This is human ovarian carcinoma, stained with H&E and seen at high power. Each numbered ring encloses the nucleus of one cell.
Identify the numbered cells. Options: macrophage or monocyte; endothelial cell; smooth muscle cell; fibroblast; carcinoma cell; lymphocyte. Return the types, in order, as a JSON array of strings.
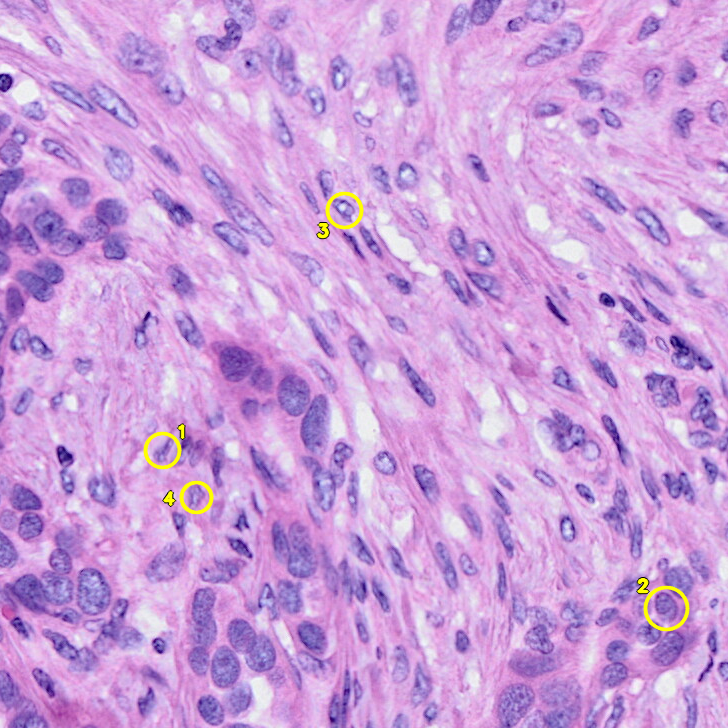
["fibroblast", "carcinoma cell", "fibroblast", "fibroblast"]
